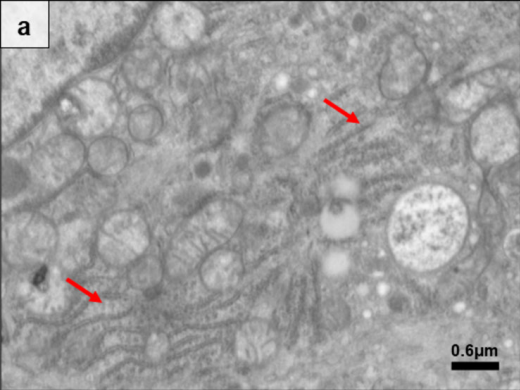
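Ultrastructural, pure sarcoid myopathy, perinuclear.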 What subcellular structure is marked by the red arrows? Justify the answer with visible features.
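The arrows point to stacks of parallel membranes lined by dense granules. The stacks lie among round mitochondria. On this evidence: rough endoplasmic reticulum.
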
